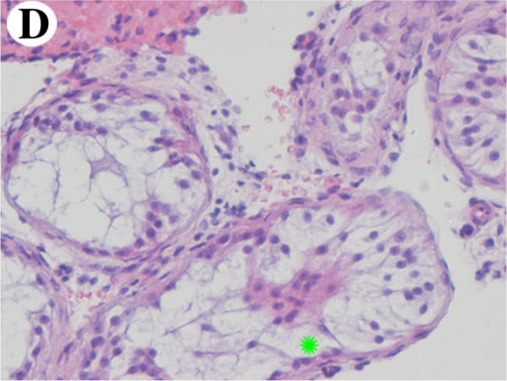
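This shows several seminiferous tubules of the testis stained with hematoxylin and eosin, lined largely by Sertoli cells. Their oval purple nuclei rest along the base of each tubule, while pale, vacuolated cytoplasm forms a loose, web-like meshwork filling the tubule interior. Few densely packed germ cells are seen; one tubule has a small pinkish cluster of cells near its centre. Between the tubules lies interstitial tissue with elongated nuclei and scattered red blood cells, and a pink eosinophilic area sits at the top edge.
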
